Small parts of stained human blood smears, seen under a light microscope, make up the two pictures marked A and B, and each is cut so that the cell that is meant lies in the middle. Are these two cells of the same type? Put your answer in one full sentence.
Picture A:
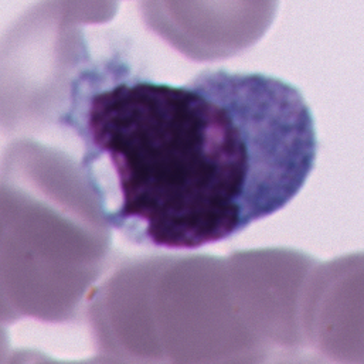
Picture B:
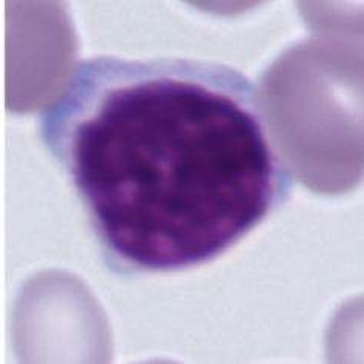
No; the cell in picture A is a monocyte, while the one in picture B is a large granular lymphocyte.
